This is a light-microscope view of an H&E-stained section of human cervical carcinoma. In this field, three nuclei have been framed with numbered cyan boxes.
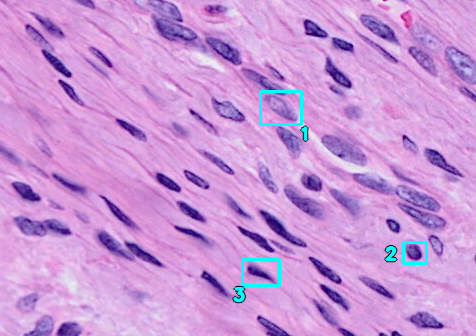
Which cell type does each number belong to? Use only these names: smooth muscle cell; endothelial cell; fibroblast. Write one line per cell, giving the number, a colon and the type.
1: endothelial cell
2: smooth muscle cell
3: fibroblast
